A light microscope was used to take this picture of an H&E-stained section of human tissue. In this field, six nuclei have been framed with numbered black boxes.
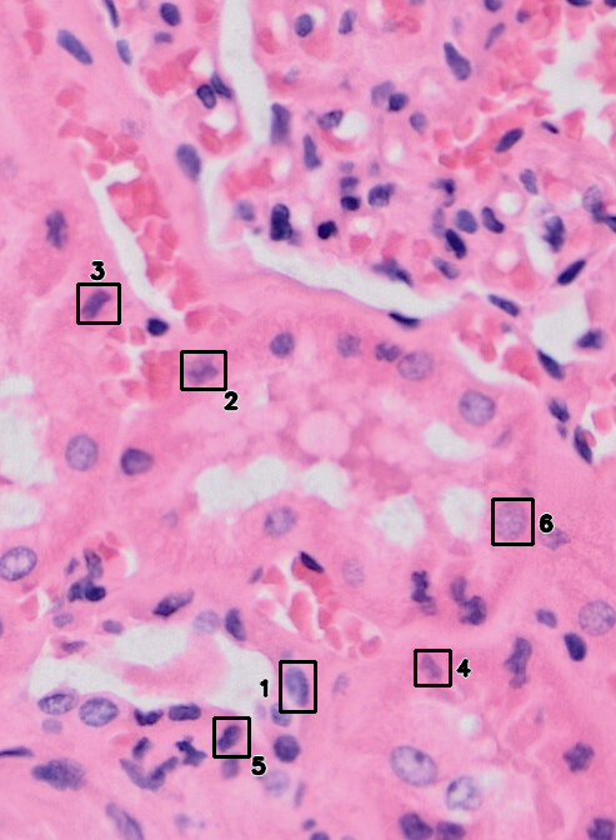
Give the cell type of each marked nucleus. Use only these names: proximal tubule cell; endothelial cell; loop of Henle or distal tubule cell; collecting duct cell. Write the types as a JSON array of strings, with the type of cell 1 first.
["collecting duct cell", "proximal tubule cell", "proximal tubule cell", "proximal tubule cell", "collecting duct cell", "proximal tubule cell"]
